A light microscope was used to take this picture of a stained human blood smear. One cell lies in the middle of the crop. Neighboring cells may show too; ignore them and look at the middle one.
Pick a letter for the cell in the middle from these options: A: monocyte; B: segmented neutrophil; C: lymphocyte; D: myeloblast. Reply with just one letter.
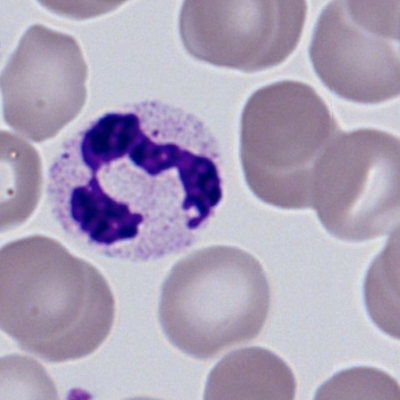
B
